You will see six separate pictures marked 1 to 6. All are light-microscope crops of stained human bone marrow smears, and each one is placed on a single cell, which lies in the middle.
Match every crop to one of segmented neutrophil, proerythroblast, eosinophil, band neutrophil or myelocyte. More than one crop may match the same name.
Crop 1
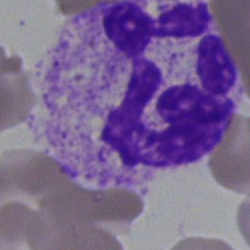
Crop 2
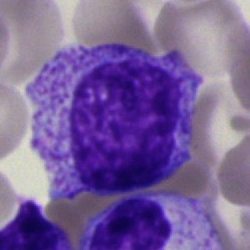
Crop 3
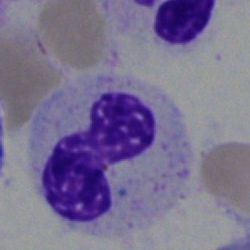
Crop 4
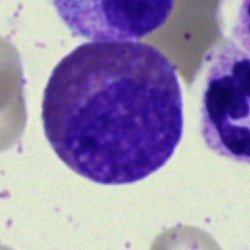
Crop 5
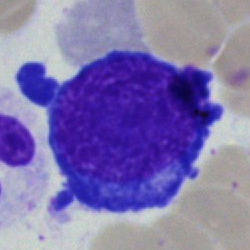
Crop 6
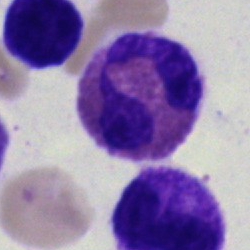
1: segmented neutrophil
2: myelocyte
3: band neutrophil
4: eosinophil
5: proerythroblast
6: eosinophil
